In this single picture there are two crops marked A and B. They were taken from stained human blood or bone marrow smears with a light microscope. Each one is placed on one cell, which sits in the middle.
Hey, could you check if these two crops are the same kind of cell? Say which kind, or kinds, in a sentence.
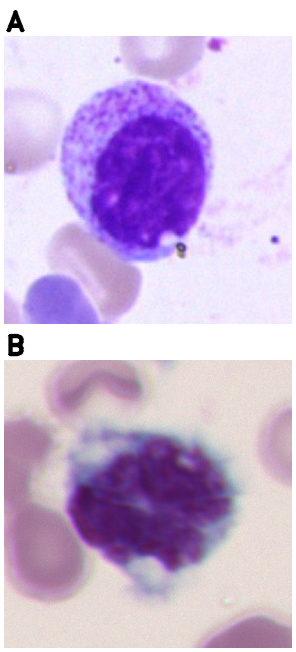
No, crop A and crop B show a myelocyte and a monocyte respectively.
